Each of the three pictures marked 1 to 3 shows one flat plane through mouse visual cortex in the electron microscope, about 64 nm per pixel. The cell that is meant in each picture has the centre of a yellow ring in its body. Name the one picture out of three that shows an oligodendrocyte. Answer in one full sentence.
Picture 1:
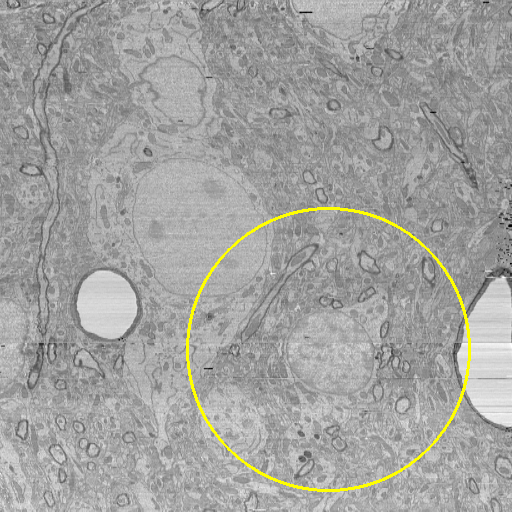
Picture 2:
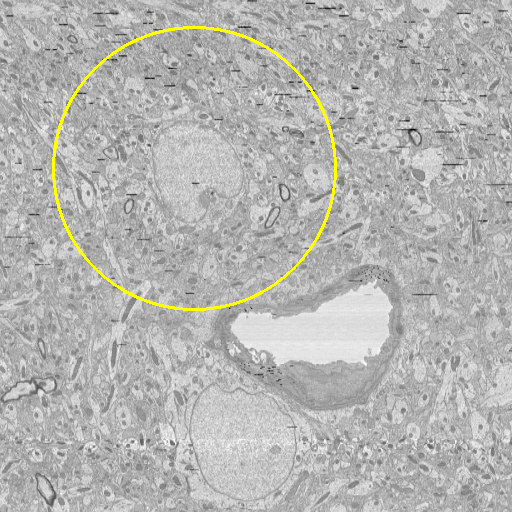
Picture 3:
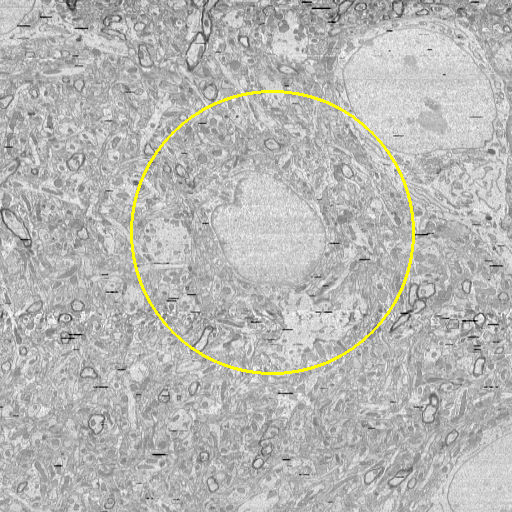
The oligodendrocyte is the one in picture 1.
